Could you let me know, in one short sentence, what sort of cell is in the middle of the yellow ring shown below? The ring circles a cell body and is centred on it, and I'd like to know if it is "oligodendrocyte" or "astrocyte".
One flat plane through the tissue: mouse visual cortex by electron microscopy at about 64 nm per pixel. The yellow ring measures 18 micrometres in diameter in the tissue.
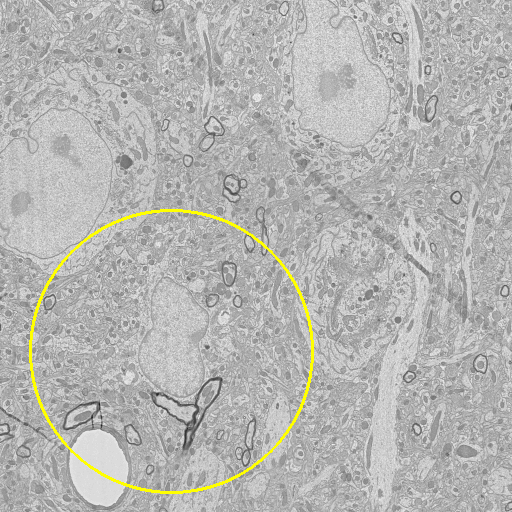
The ring circles the cell body of an astrocyte.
